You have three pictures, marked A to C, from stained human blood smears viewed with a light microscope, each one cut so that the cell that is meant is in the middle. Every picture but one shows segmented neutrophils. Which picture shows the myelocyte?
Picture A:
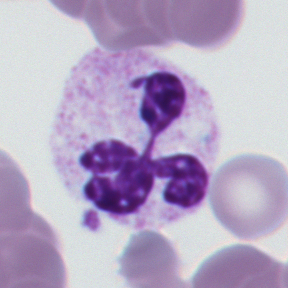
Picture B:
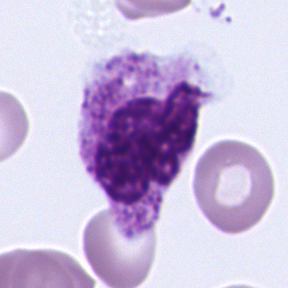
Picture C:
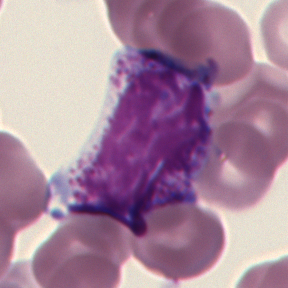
C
